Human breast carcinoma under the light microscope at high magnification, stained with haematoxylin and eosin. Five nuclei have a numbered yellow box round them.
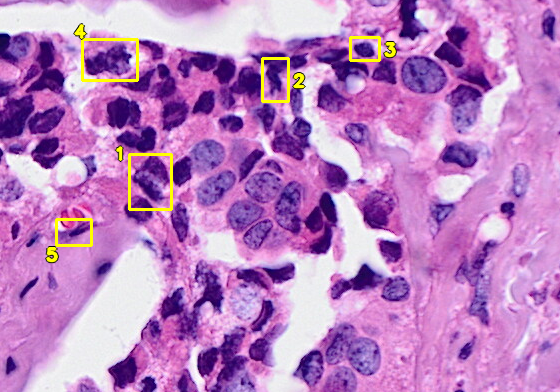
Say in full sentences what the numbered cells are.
Cell 1 is a carcinoma cell, cell 2 is a carcinoma cell, cell 3 is a lymphocyte, cell 4 is a carcinoma cell and cell 5 is an endothelial cell.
